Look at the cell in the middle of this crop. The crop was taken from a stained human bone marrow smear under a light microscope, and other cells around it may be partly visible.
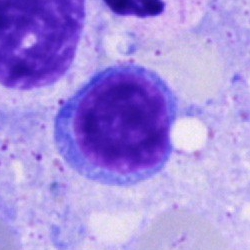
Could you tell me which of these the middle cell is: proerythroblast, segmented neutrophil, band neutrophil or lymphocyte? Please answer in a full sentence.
The crop's centre is taken up by a lymphocyte.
